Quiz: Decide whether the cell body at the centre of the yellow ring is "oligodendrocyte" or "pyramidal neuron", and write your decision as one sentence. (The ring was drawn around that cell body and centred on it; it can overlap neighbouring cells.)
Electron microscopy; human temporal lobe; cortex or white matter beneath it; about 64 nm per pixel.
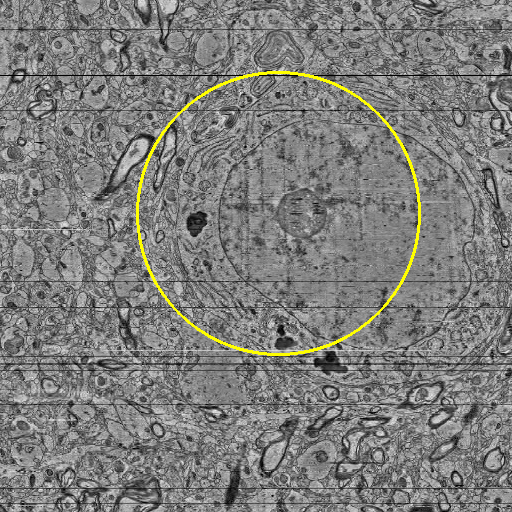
The cell the ring is centred on is a pyramidal neuron.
